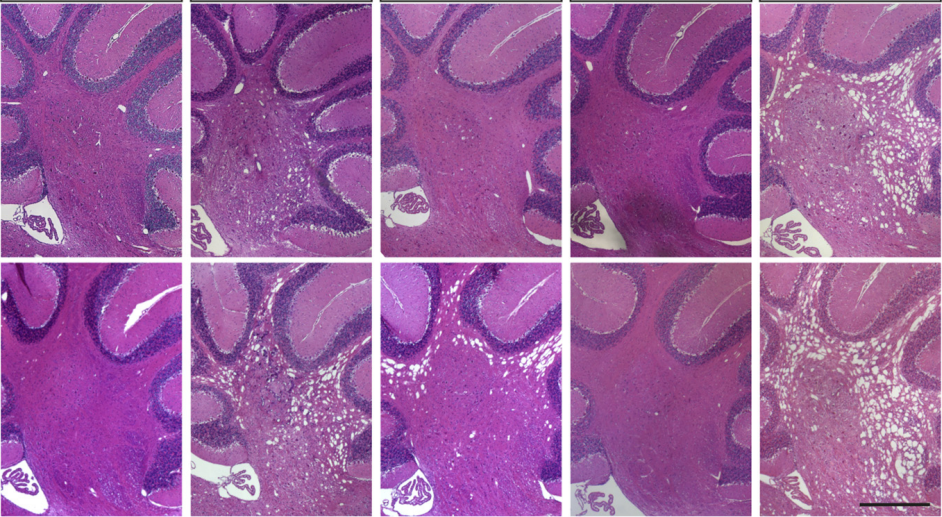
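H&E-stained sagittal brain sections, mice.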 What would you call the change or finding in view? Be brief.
Myelin vacuolization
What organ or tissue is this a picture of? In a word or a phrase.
Cerebellum.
